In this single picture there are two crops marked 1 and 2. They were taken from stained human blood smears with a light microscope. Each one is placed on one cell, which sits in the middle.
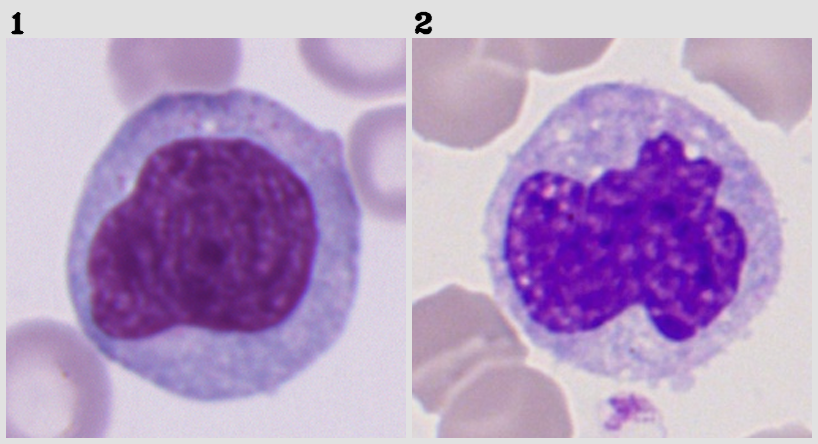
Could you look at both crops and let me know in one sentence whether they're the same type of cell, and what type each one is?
Yes, the cells in both crops are monocytes.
